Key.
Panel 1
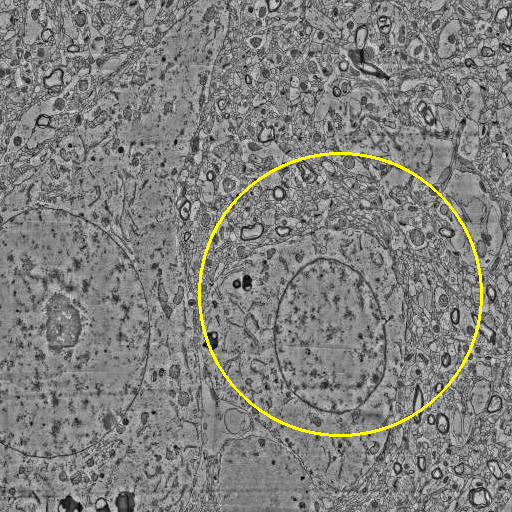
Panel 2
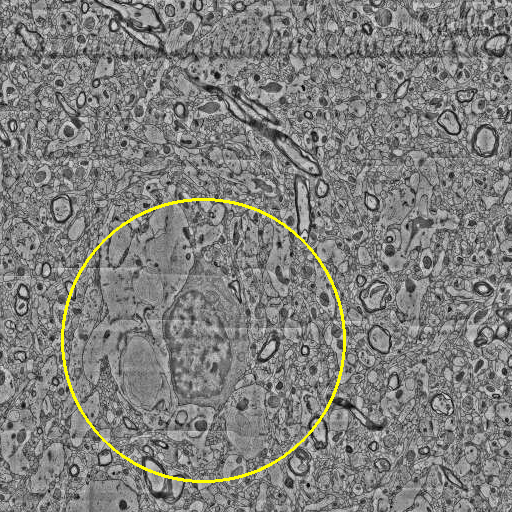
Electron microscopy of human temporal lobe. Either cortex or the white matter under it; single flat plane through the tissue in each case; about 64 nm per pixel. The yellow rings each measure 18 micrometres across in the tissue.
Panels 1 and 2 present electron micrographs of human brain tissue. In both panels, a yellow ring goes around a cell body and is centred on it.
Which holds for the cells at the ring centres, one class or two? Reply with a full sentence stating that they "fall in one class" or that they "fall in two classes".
Taken together, the ring-centre cells of the two panels fall in two classes.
